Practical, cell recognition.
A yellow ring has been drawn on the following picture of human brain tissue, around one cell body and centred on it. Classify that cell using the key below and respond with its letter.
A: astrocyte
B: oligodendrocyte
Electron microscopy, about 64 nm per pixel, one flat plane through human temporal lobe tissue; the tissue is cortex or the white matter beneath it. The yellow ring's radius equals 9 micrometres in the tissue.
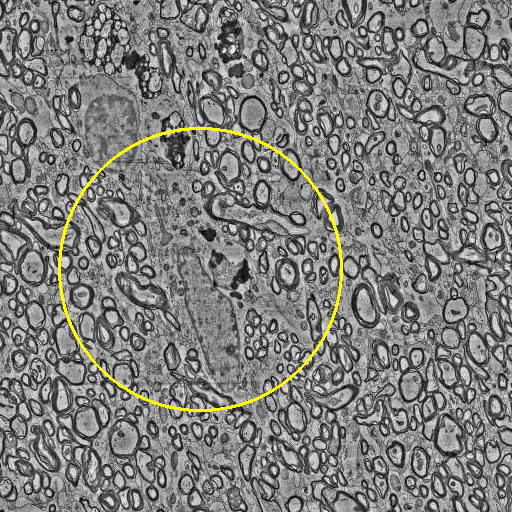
A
